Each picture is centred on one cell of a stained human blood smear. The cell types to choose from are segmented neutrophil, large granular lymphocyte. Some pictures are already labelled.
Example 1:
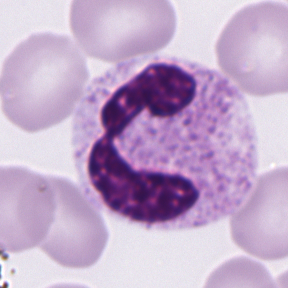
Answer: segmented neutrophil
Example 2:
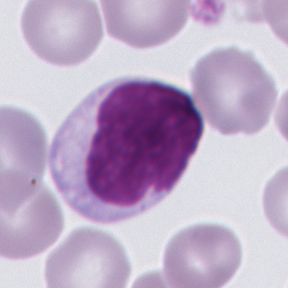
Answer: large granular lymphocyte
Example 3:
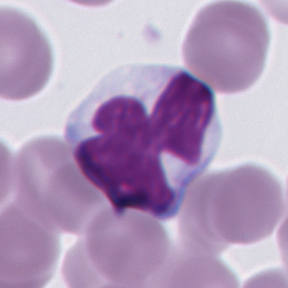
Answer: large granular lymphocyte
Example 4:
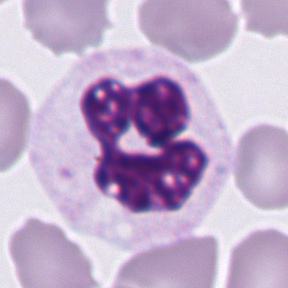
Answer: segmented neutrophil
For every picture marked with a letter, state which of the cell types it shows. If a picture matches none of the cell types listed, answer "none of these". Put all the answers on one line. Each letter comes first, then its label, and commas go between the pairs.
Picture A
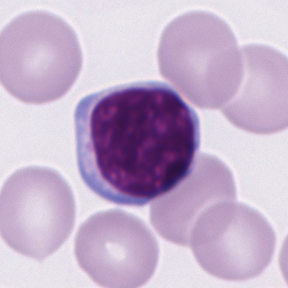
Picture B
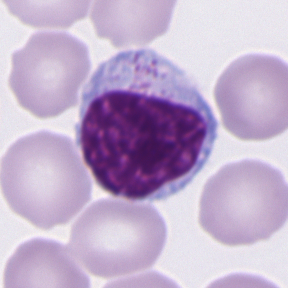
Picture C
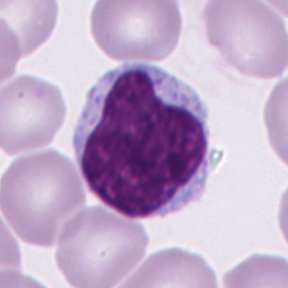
A none of these, B large granular lymphocyte, C none of these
